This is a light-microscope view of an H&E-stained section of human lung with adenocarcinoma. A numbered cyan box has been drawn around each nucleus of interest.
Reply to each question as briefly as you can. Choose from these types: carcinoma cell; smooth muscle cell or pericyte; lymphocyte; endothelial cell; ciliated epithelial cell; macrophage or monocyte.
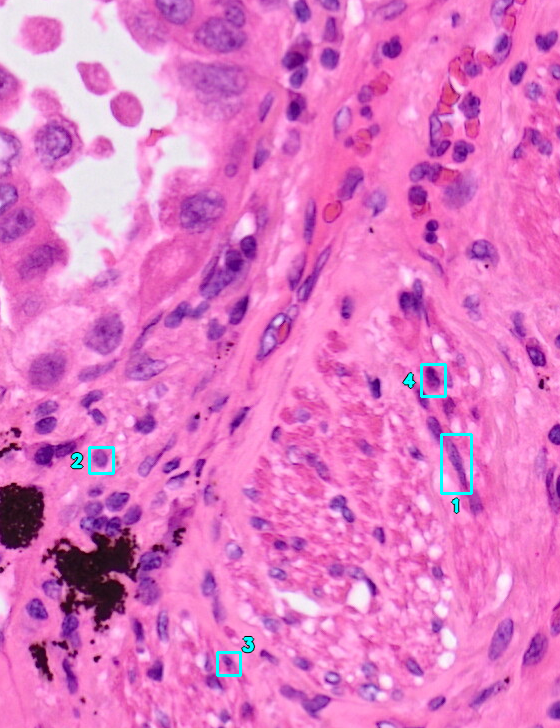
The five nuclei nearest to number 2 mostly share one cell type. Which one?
lymphocyte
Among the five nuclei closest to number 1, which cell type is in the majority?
smooth muscle cell or pericyte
